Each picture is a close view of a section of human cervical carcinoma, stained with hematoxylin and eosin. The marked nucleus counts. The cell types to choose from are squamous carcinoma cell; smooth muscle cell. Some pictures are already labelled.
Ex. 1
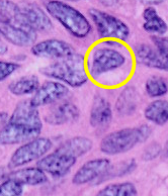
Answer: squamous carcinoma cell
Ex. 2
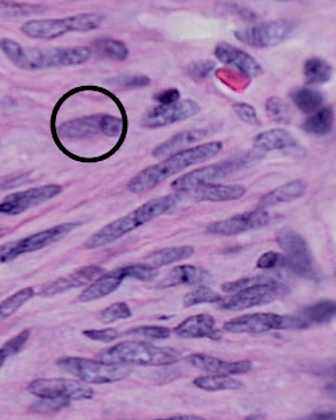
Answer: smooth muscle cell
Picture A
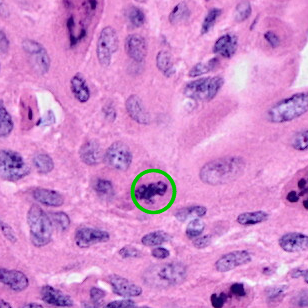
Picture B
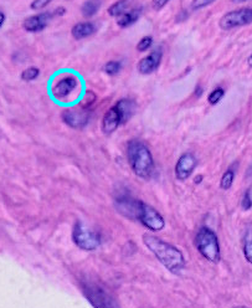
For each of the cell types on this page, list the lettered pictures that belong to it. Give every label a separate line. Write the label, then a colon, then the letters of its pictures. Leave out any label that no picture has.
squamous carcinoma cell: A
smooth muscle cell: B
